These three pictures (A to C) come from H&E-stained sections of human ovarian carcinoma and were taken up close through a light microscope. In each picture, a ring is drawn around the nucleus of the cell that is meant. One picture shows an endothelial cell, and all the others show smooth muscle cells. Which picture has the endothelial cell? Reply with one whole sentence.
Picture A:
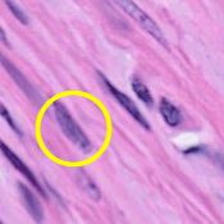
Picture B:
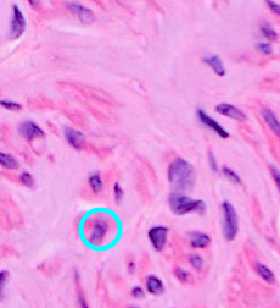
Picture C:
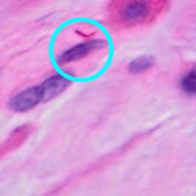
It is picture C that shows the endothelial cell.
